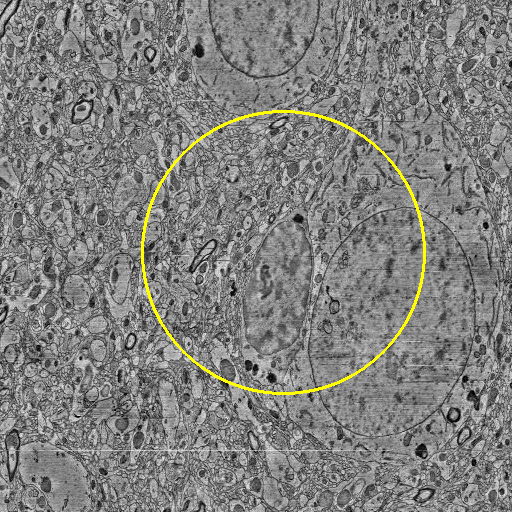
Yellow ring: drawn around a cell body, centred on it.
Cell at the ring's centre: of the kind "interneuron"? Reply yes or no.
no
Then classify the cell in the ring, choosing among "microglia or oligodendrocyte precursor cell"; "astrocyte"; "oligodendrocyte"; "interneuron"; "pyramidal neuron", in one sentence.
What the ring encloses here is an oligodendrocyte.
